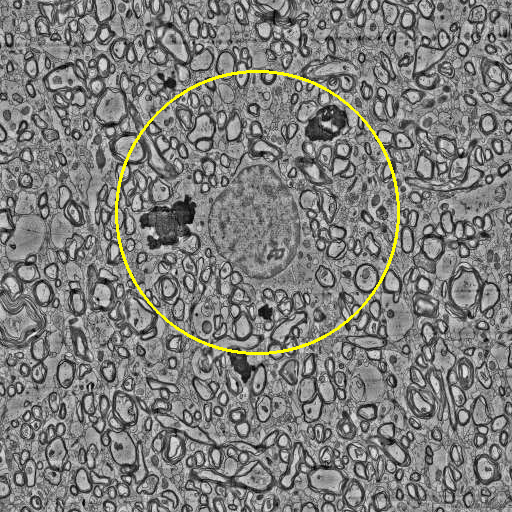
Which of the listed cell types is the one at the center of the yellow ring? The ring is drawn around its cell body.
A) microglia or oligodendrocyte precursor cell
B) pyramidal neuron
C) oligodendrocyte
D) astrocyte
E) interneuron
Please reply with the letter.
C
